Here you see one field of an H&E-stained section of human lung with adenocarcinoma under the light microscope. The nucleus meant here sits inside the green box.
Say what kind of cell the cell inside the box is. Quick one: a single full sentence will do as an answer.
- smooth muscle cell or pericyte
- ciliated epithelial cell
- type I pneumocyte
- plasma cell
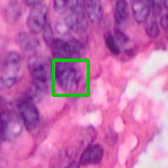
The category to which the cell inside the box belongs is that of a ciliated epithelial cell.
